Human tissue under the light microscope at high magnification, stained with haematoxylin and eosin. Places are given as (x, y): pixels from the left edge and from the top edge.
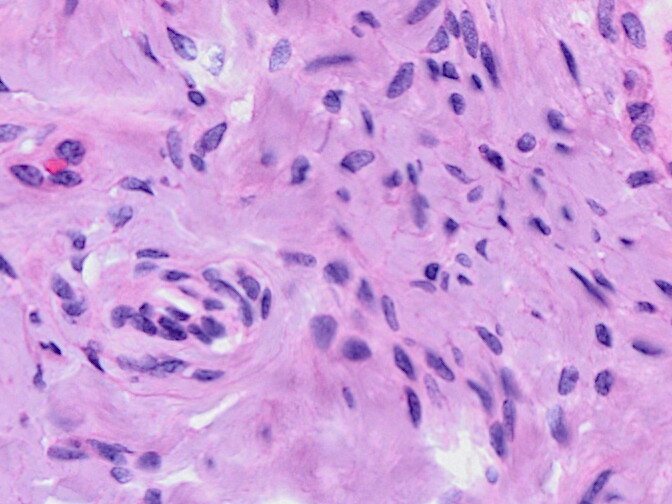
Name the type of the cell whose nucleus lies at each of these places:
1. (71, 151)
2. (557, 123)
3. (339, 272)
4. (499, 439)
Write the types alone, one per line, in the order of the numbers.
endothelial cell
fibroblast
fibroblast
fibroblast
